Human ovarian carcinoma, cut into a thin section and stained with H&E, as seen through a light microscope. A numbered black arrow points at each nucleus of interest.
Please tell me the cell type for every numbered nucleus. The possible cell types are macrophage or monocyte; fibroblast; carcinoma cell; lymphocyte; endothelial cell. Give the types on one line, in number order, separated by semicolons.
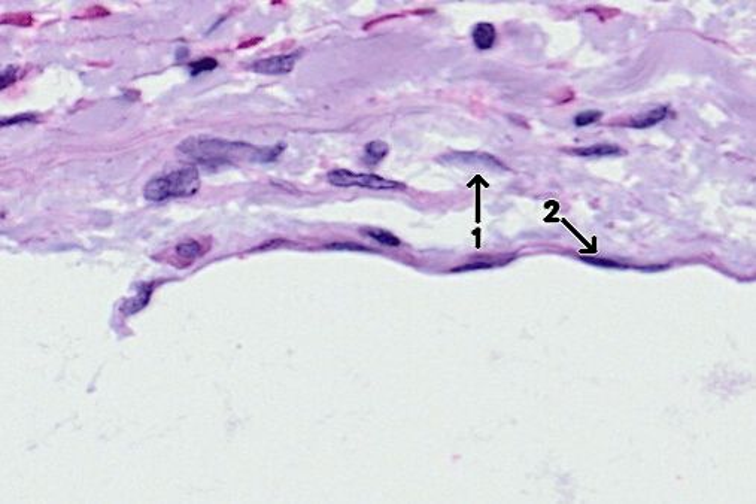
fibroblast; endothelial cell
